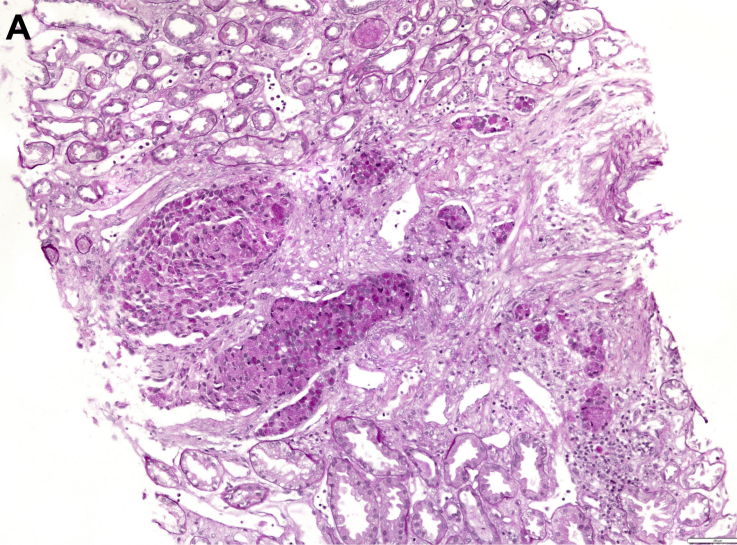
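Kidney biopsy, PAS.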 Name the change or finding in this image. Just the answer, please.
Infiltration of renal parenchyma.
